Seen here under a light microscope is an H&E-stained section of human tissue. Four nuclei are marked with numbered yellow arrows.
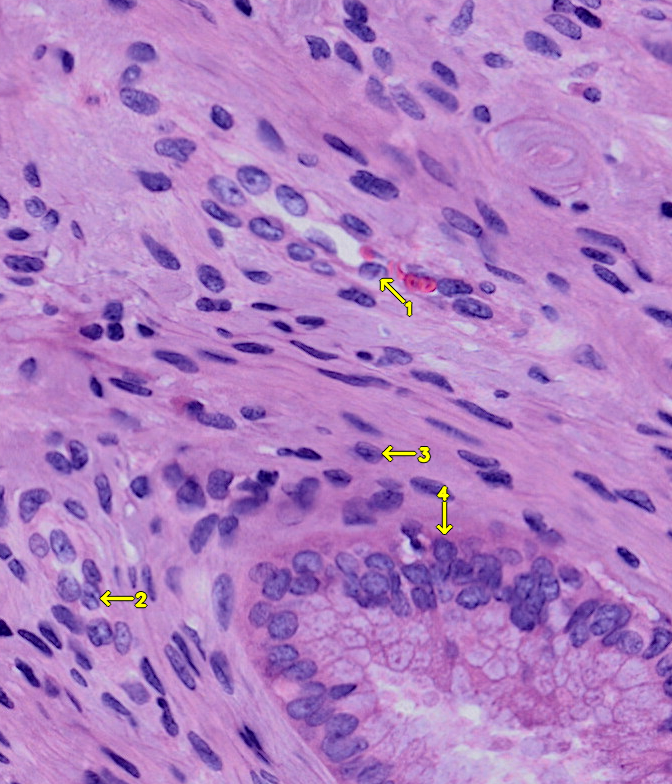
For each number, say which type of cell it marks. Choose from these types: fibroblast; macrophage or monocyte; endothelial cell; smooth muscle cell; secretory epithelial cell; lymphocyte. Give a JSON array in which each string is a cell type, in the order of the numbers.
["endothelial cell", "endothelial cell", "fibroblast", "secretory epithelial cell"]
